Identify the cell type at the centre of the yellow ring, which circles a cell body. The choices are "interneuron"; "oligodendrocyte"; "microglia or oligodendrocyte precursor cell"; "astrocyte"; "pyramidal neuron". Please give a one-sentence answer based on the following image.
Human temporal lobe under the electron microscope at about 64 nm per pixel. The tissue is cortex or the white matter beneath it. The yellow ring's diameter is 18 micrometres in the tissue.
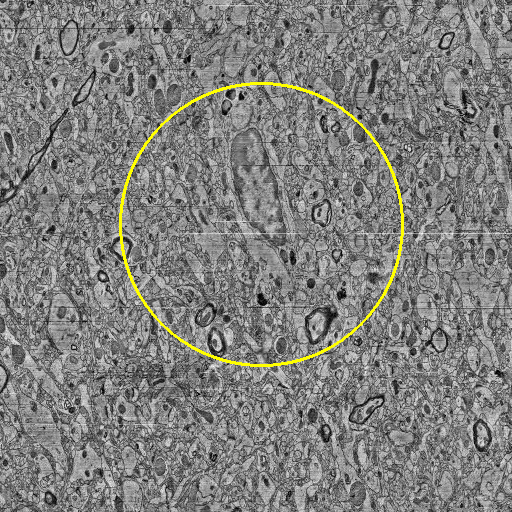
The cell marked by the ring is a microglial cell or oligodendrocyte precursor cell.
